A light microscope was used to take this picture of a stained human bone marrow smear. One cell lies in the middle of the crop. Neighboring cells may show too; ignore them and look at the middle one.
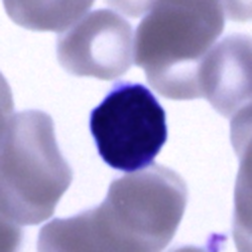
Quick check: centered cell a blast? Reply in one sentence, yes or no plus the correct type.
No, instead of a blast, the middle cell is a lymphocyte.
